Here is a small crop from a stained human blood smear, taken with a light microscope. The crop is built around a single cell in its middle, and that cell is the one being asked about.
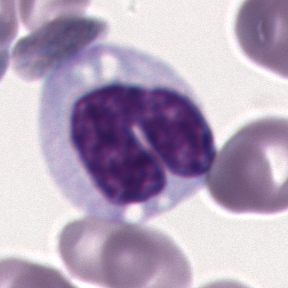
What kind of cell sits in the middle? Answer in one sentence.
Positioned in the middle of the crop is a band neutrophil.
